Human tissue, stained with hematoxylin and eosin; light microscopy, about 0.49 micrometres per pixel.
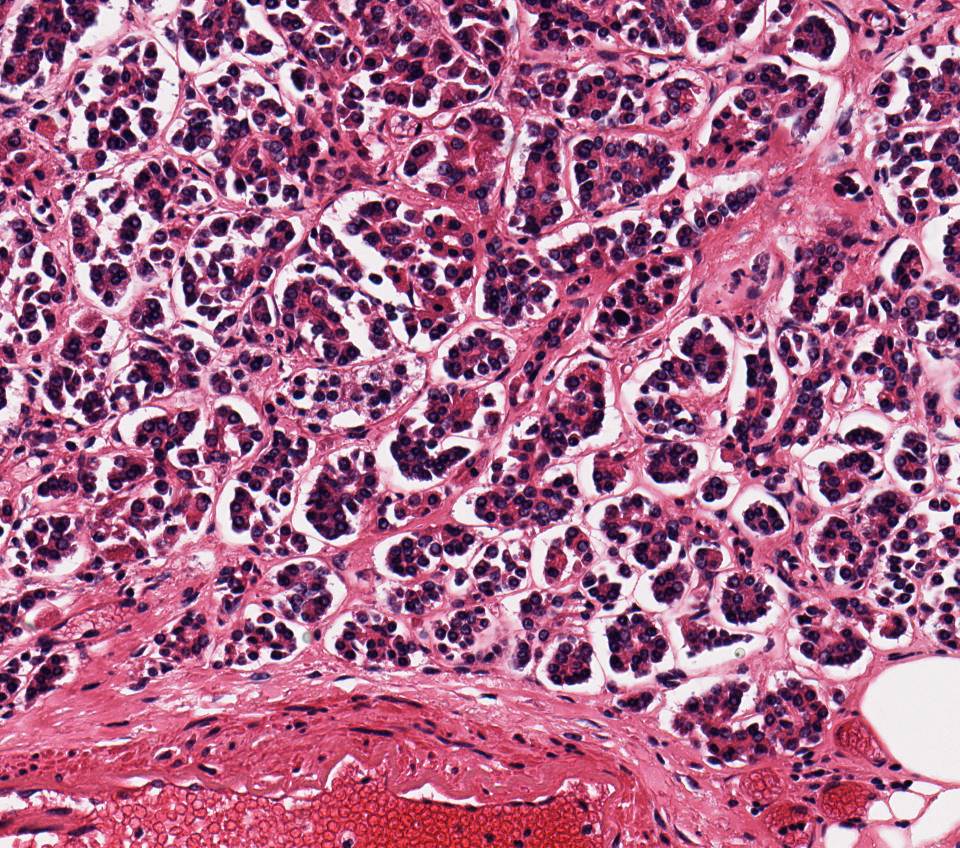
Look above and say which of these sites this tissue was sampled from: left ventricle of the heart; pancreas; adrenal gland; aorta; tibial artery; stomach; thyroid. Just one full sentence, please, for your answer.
The section was made from a sample of the pancreas.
